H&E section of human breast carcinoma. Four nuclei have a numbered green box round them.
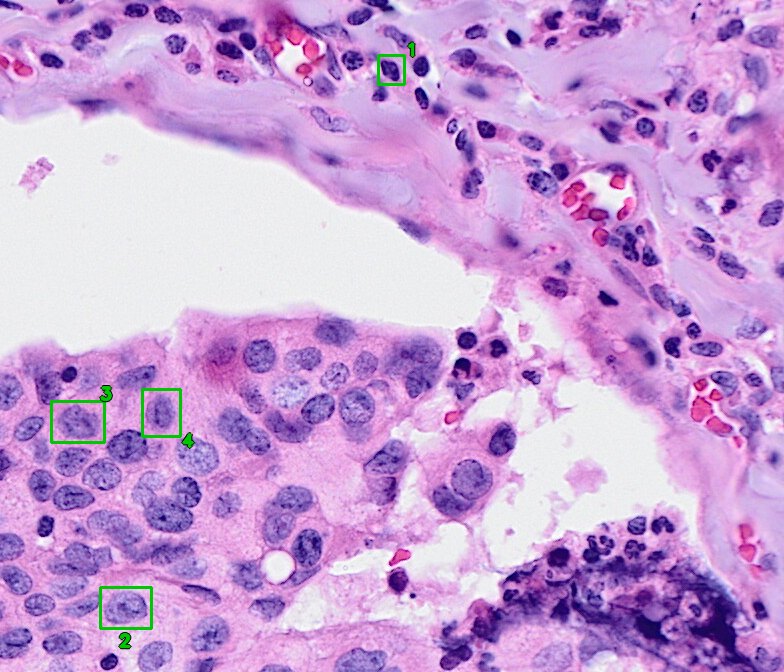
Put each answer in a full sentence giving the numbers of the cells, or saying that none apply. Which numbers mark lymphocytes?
Just one numbered cell is a lymphocyte, and that cell is number 1.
